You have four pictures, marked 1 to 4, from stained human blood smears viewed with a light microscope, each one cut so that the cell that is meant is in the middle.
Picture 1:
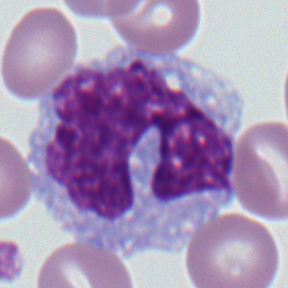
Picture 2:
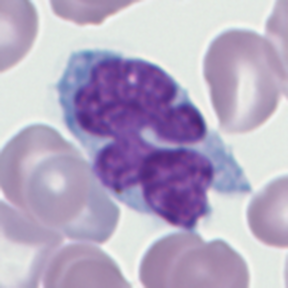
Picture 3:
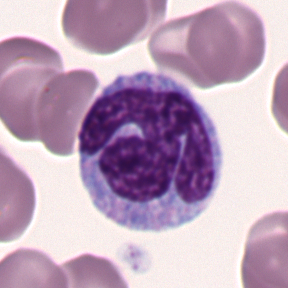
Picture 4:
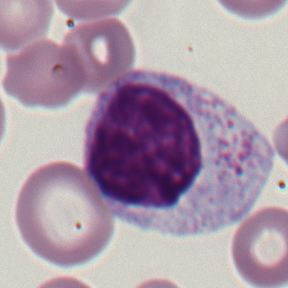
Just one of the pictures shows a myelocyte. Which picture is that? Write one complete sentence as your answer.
Picture 4 shows the myelocyte.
